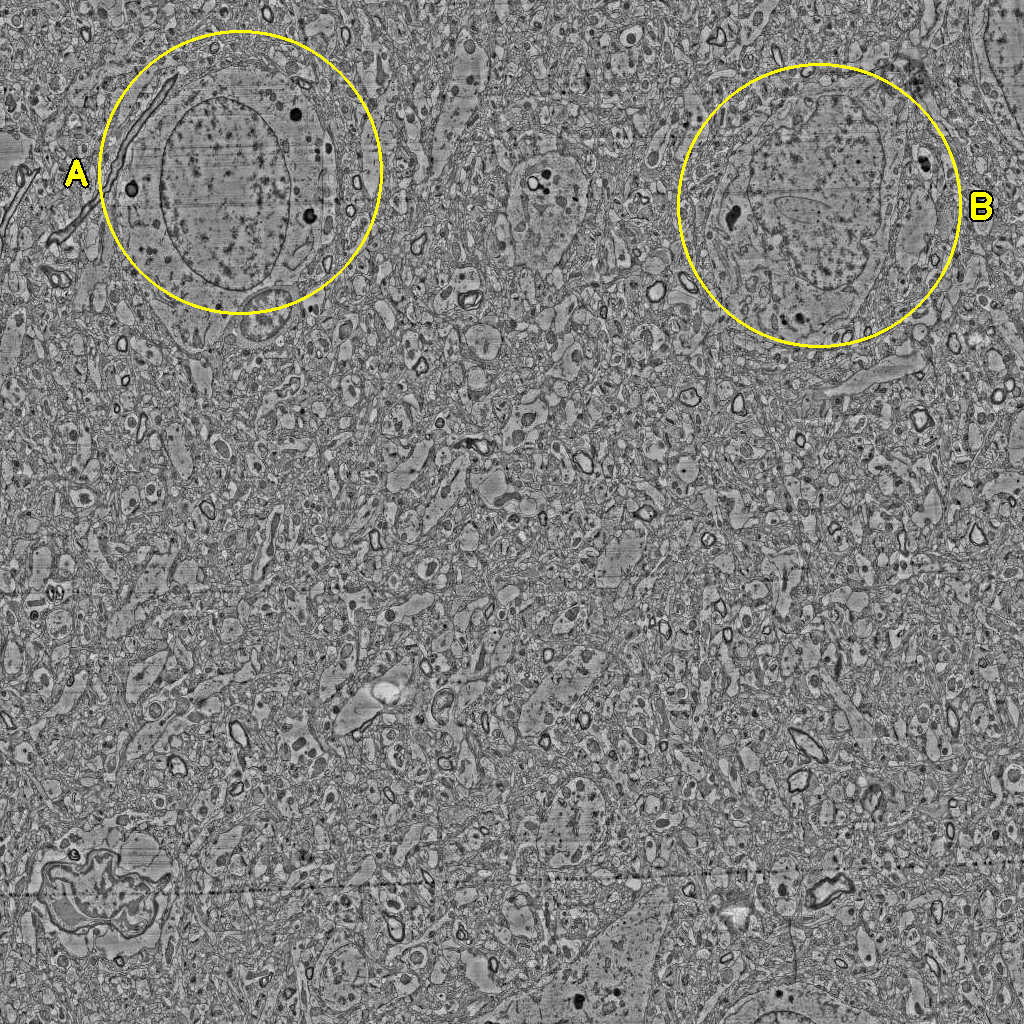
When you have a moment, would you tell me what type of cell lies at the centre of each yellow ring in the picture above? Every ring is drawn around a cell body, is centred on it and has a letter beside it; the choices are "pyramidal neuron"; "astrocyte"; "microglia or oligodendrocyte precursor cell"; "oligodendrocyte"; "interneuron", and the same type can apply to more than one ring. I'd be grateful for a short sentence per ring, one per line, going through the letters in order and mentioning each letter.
The cell at the centre of ring A is a pyramidal neuron.
The cell at the centre of ring B is an interneuron.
